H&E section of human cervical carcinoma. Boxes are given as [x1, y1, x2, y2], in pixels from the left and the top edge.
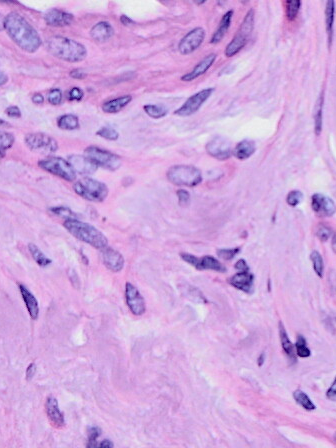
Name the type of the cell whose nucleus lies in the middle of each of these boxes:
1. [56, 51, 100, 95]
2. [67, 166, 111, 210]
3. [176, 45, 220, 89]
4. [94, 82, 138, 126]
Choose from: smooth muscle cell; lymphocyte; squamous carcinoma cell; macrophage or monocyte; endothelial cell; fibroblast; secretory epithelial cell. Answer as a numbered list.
1. smooth muscle cell
2. endothelial cell
3. smooth muscle cell
4. smooth muscle cell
